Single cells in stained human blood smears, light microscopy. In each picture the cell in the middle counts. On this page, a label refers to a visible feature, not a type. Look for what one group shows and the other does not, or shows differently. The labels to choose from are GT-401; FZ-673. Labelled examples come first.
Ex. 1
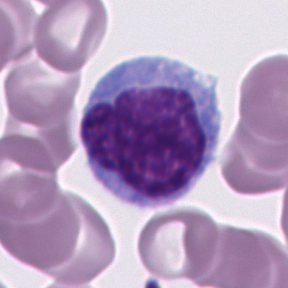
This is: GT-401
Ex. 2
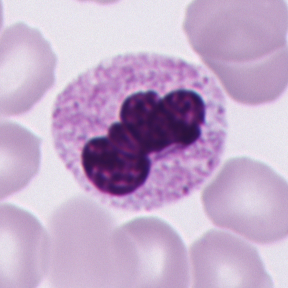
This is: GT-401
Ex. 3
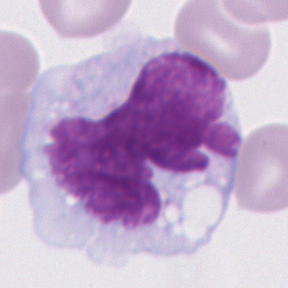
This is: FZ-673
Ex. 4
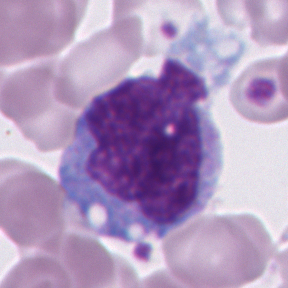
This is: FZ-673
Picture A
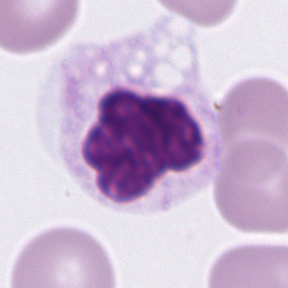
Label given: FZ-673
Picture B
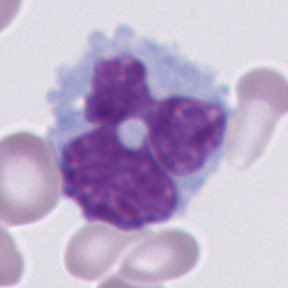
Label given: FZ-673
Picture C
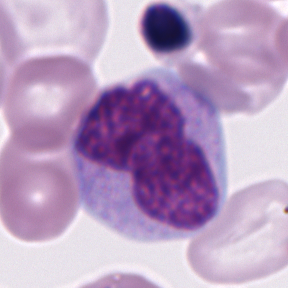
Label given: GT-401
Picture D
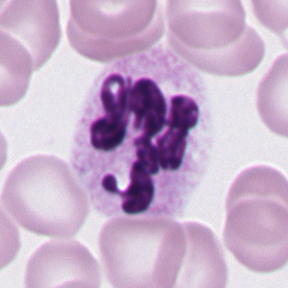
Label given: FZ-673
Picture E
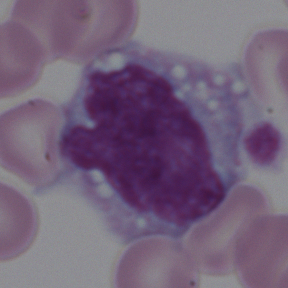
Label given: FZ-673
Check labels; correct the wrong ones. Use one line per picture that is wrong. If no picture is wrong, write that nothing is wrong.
D: not FZ-673 but GT-401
